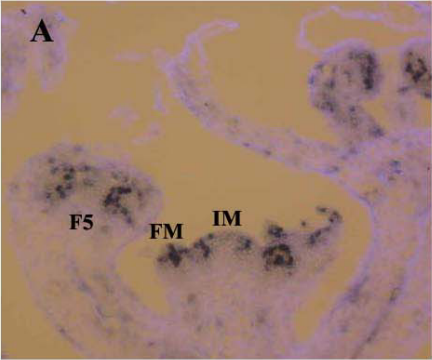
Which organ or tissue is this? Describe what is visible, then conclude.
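Several rounded dome-shaped buds arise on a shared stalk. That points to this answer: Developing flowers.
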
